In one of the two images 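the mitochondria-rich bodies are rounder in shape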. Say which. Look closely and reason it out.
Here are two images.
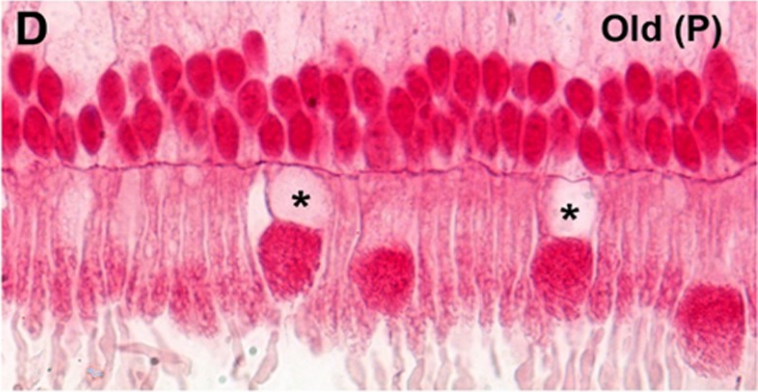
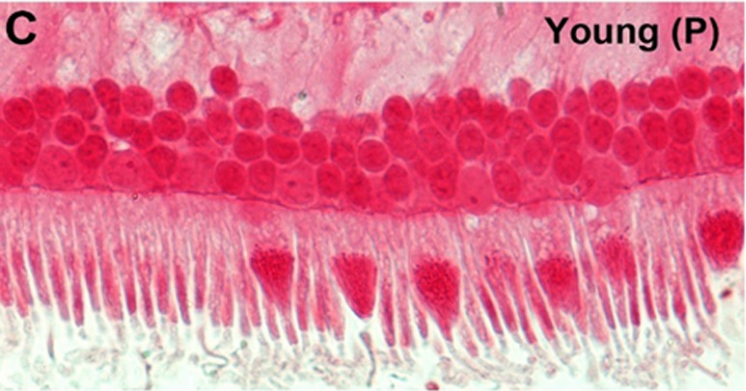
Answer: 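First image: the dense red-stained bodies in the photoreceptors are bulbous and rounded, with a granular texture. Second image: the dense red-stained bodies are tapered and elongated, narrowing downward. So: the first image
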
